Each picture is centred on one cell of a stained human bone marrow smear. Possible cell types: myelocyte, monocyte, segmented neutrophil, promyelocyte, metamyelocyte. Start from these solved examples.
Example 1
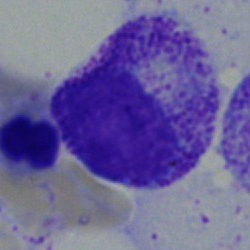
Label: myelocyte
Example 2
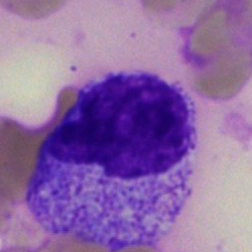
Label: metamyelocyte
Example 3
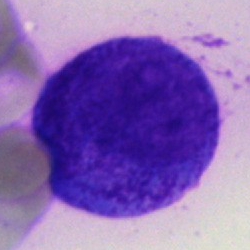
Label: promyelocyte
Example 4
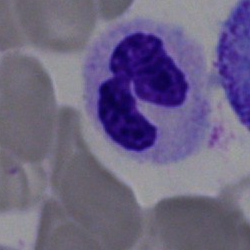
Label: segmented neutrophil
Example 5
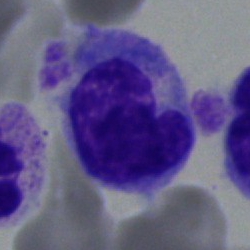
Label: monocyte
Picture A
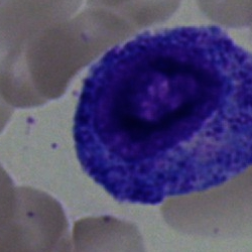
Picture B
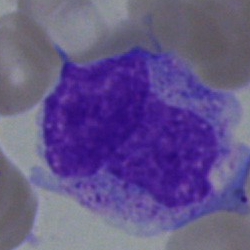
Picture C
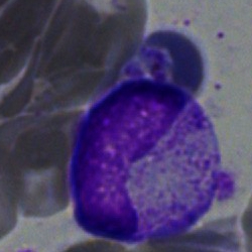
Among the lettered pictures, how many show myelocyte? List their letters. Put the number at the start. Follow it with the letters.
0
